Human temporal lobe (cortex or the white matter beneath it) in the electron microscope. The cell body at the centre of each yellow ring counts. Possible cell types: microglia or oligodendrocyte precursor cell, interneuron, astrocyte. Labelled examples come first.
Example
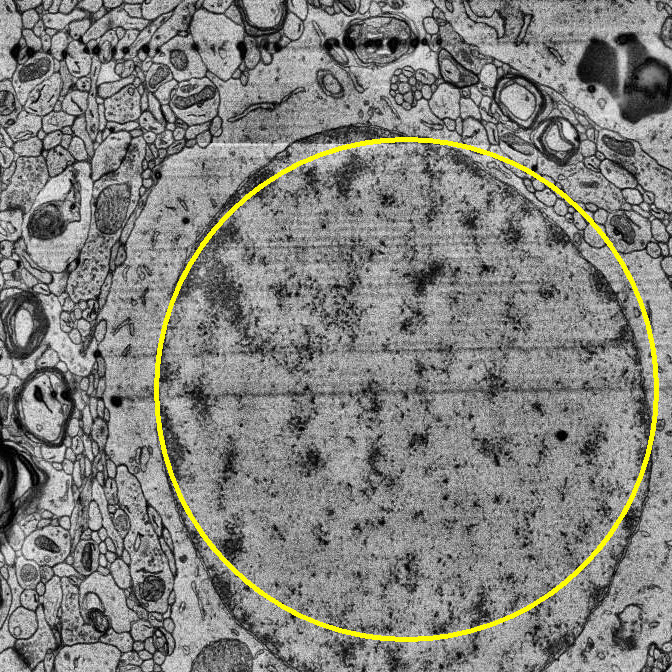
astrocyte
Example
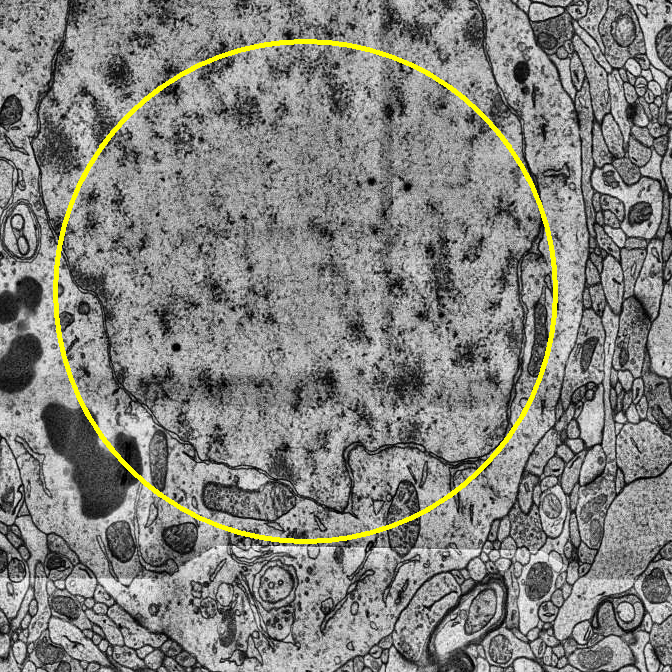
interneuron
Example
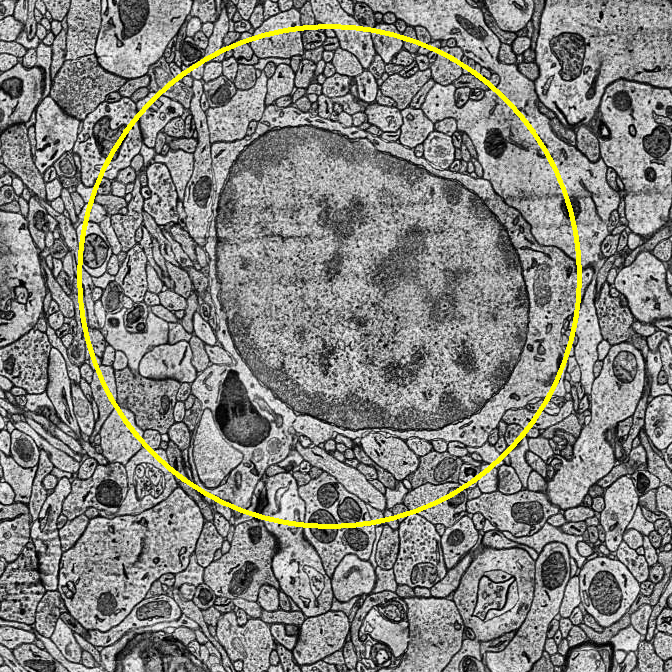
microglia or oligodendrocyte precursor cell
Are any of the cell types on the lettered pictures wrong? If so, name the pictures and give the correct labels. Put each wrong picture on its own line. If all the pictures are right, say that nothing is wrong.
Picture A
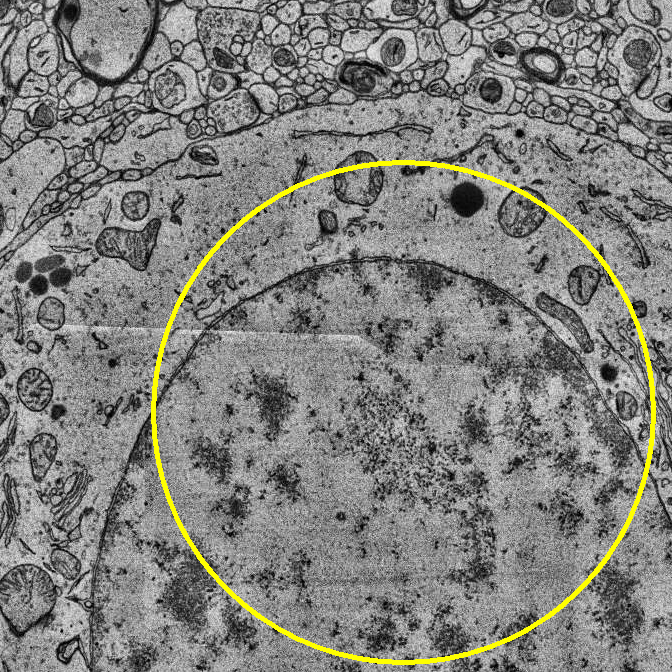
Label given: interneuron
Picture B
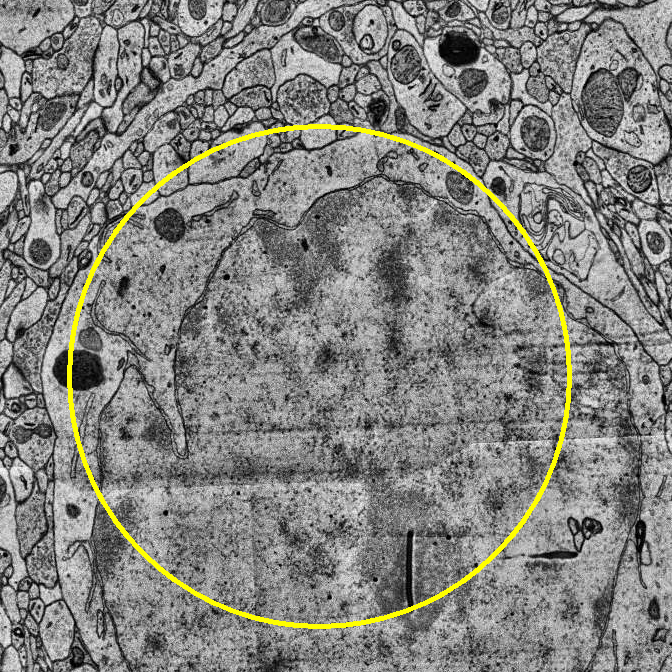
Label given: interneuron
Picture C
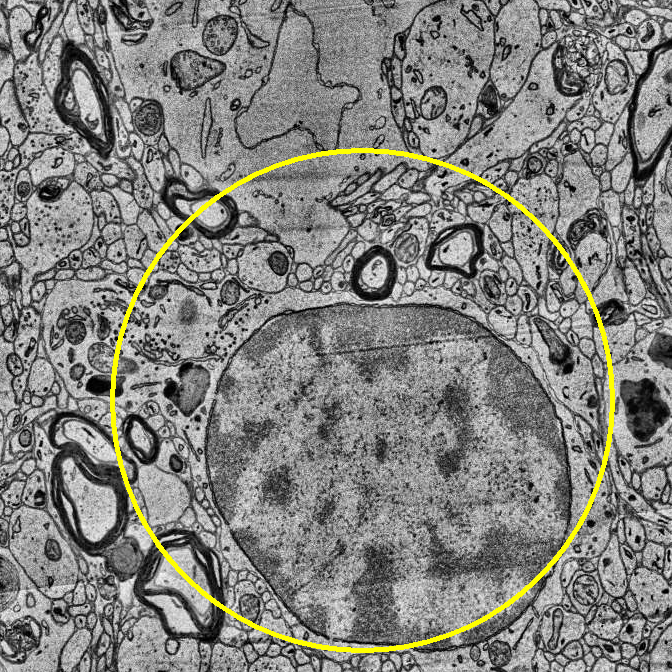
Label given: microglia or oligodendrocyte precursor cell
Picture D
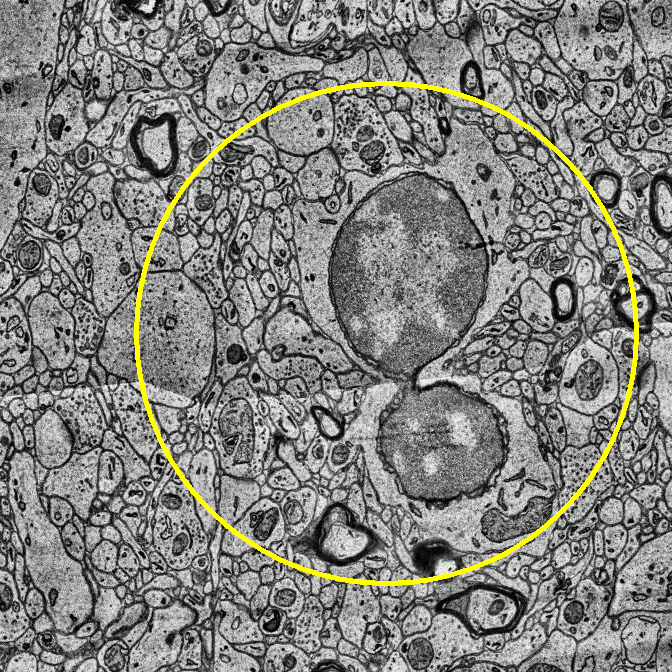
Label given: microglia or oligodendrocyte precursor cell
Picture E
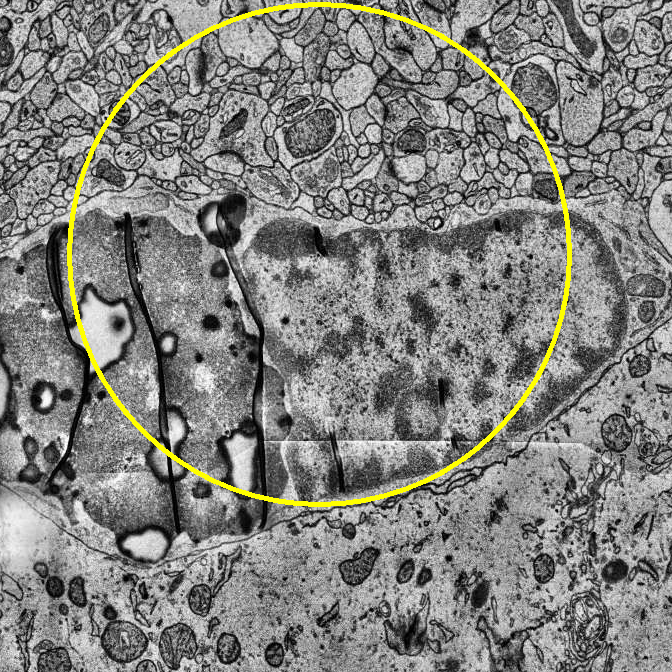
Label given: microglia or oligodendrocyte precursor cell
None of the labels needs changing.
